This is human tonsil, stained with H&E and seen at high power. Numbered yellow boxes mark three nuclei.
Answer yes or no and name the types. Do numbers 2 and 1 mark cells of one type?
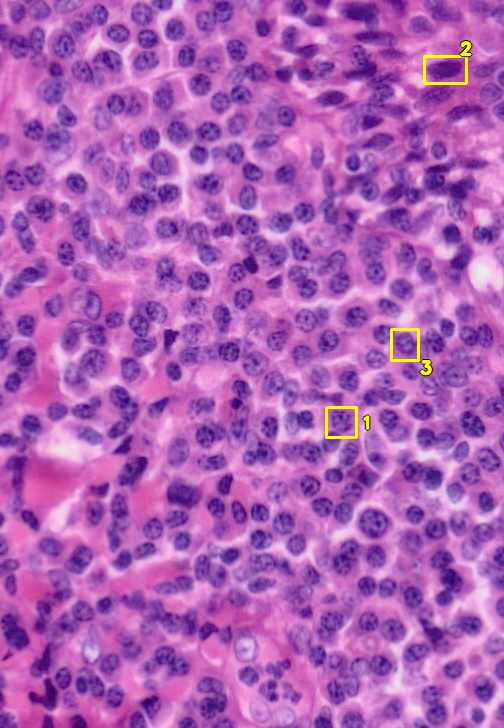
No, that does not hold; cell 2 is a squamous epithelial cell and cell 1 is a plasma cell.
